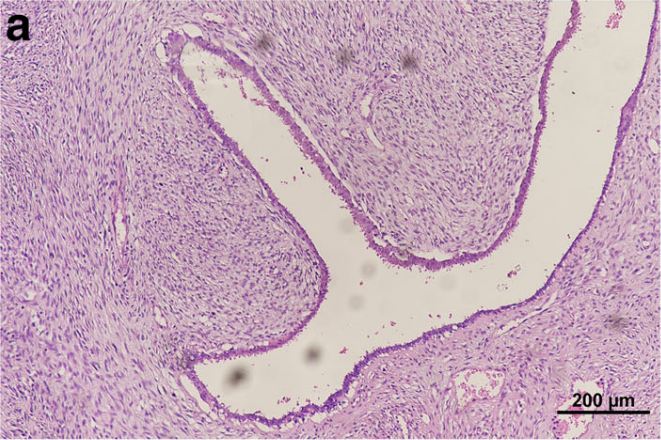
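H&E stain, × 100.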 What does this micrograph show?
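Here you see a densely cellular tumor whose stroma pushes against a long, branching cleft. The cleft is lined by a thin, darker purple layer of epithelial cells, one or two cells thick. On both sides the stroma is packed with spindle cells running in sweeping bundles, more crowded than ordinary fibrous tissue. A few small blood vessels with red cells lie in the stroma near the lower right.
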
